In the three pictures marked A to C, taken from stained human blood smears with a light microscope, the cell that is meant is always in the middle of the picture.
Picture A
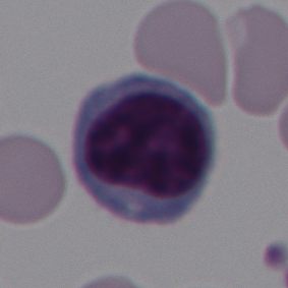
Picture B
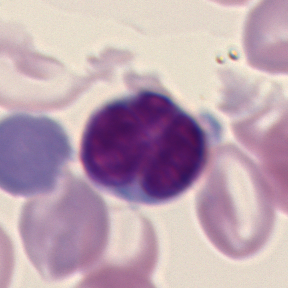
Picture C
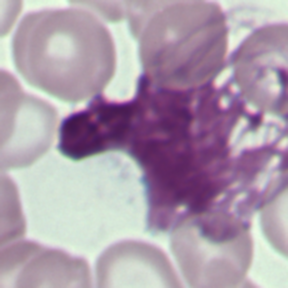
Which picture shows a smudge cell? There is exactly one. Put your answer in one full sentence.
The picture with the smudge cell is C.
